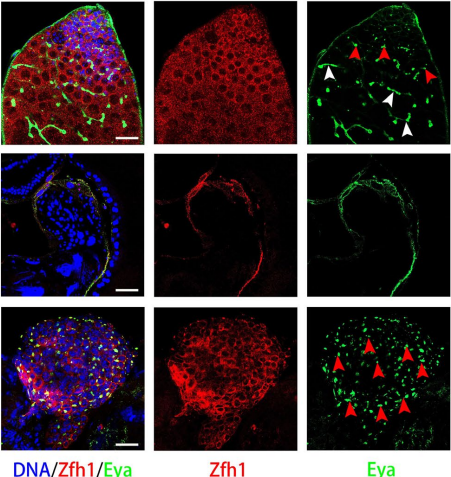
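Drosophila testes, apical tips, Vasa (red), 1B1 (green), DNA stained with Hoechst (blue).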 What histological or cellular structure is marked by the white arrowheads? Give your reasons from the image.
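The white arrowheads point to elongated green threads that branch. The threads run between several neighbouring cells.
Answer: branched fusomes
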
